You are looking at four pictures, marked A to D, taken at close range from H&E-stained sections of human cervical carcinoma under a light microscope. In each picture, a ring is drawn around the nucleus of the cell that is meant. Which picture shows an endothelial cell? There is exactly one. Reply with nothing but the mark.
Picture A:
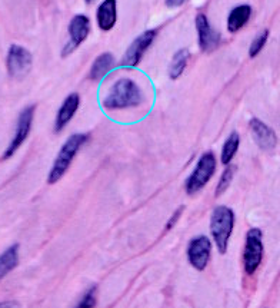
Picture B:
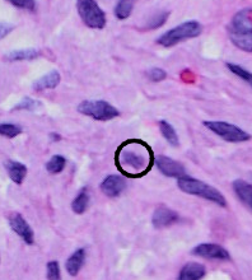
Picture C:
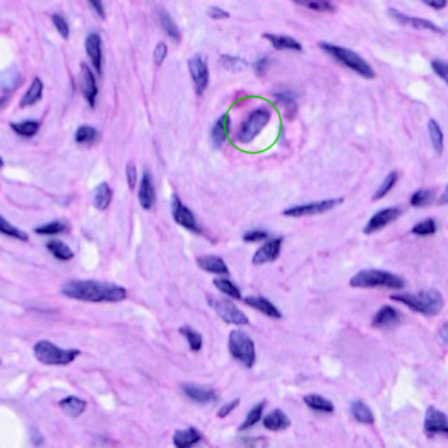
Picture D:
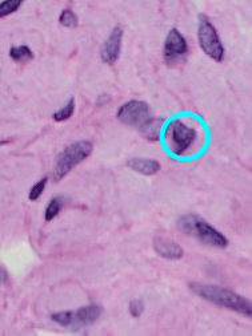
C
